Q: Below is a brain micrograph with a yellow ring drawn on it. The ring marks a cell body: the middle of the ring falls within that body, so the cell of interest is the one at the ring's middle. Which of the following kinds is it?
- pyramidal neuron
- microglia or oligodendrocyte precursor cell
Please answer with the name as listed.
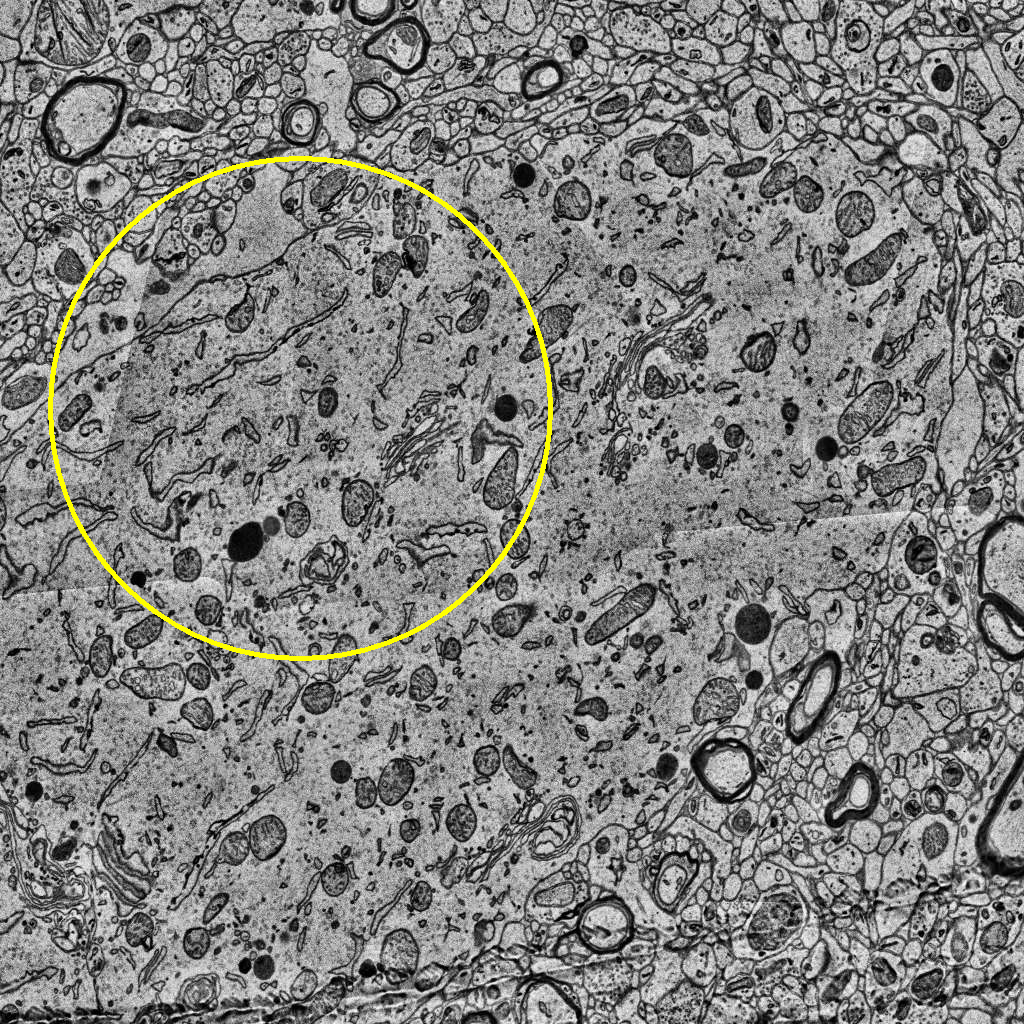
pyramidal neuron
